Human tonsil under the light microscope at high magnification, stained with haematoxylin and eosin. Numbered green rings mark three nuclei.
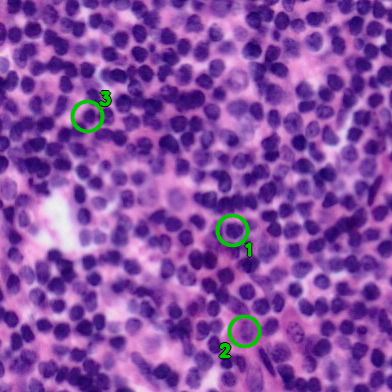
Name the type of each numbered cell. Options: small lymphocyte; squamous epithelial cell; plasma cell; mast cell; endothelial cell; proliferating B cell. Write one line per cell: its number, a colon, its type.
1: small lymphocyte
2: endothelial cell
3: small lymphocyte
